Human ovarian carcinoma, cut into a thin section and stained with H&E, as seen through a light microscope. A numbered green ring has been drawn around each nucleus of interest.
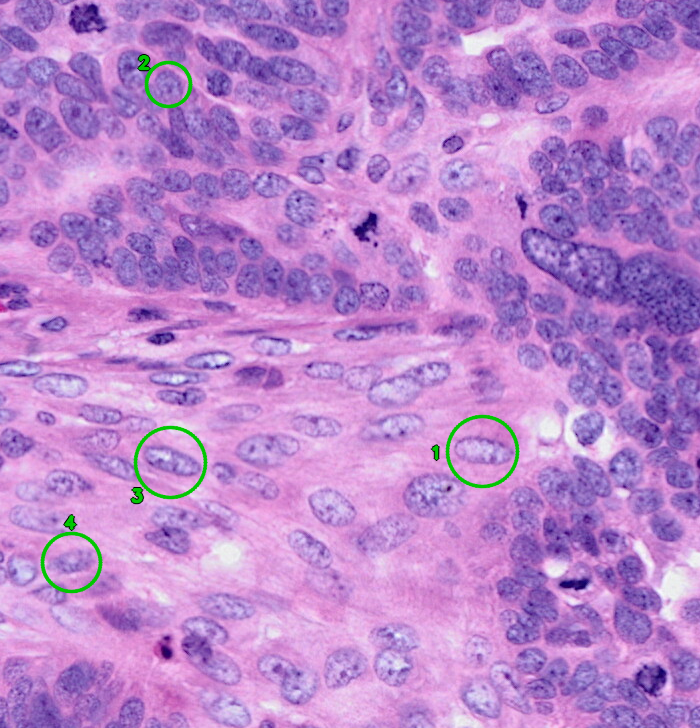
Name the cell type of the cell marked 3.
fibroblast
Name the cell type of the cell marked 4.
fibroblast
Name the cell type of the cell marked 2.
carcinoma cell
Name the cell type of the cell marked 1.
fibroblast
